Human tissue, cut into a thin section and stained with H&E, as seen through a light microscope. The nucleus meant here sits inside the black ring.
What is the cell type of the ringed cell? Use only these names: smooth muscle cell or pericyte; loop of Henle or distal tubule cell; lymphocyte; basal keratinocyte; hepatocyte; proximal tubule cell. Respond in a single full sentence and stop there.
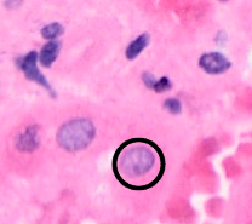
On this particular slide, the ringed cell is a proximal tubule cell.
